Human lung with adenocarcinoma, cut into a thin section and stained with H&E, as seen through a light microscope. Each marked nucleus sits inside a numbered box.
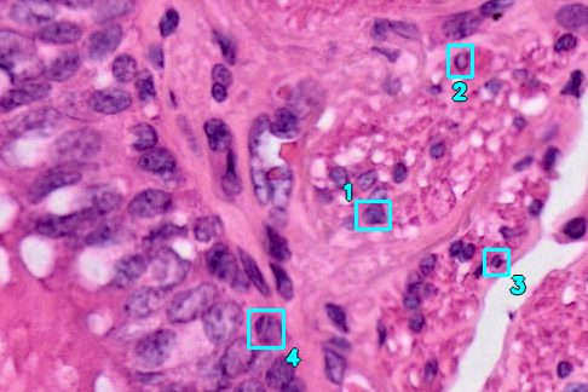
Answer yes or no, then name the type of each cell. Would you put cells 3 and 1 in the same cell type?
Yes, it is true that cells 3 and 1 are both smooth muscle cells or pericytes.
